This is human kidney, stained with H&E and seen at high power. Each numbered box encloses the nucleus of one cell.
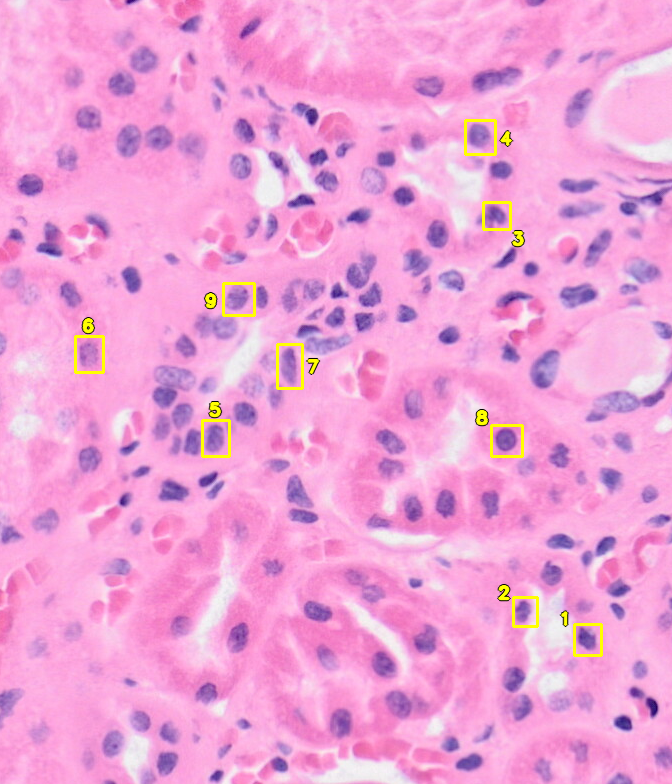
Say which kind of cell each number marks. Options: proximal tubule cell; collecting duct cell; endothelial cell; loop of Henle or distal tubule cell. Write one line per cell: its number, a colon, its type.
1: loop of Henle or distal tubule cell
2: loop of Henle or distal tubule cell
3: loop of Henle or distal tubule cell
4: loop of Henle or distal tubule cell
5: collecting duct cell
6: proximal tubule cell
7: collecting duct cell
8: proximal tubule cell
9: collecting duct cell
